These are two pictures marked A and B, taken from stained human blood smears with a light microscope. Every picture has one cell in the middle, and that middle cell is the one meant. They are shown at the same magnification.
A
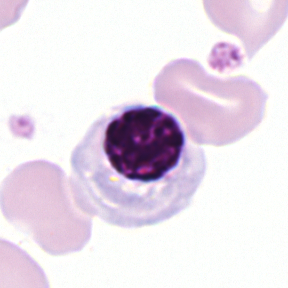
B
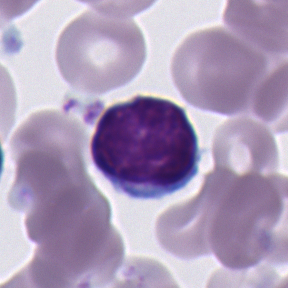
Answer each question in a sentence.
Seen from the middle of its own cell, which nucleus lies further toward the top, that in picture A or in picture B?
In picture A the nucleus is shifted more toward the top.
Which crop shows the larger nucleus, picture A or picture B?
Picture B shows the larger nucleus; it covers about 1.5 times the area of the nucleus in picture A.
